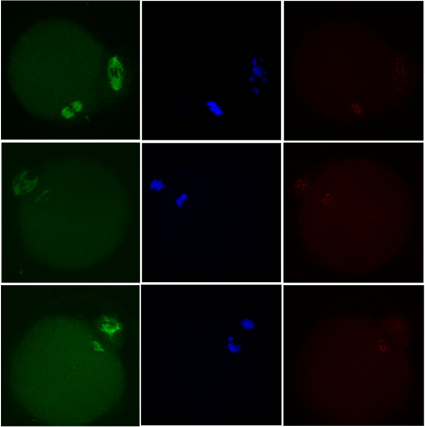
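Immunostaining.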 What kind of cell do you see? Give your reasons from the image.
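Each image is filled by one very large round cell. A spindle with chromosomes sits at the edge of the cell beside a much smaller body that holds a second set of chromosomes. On this evidence: oocytes.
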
